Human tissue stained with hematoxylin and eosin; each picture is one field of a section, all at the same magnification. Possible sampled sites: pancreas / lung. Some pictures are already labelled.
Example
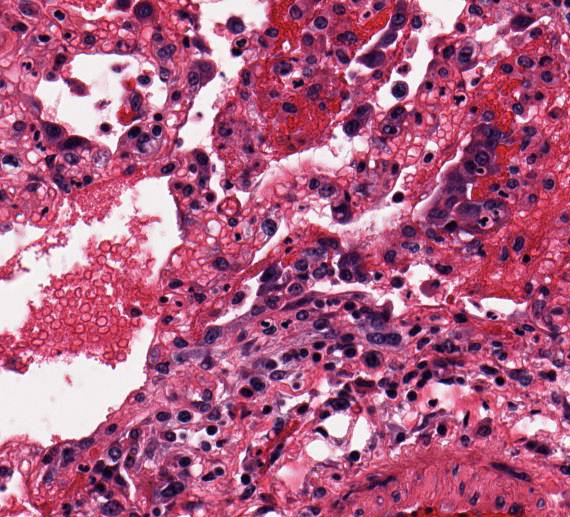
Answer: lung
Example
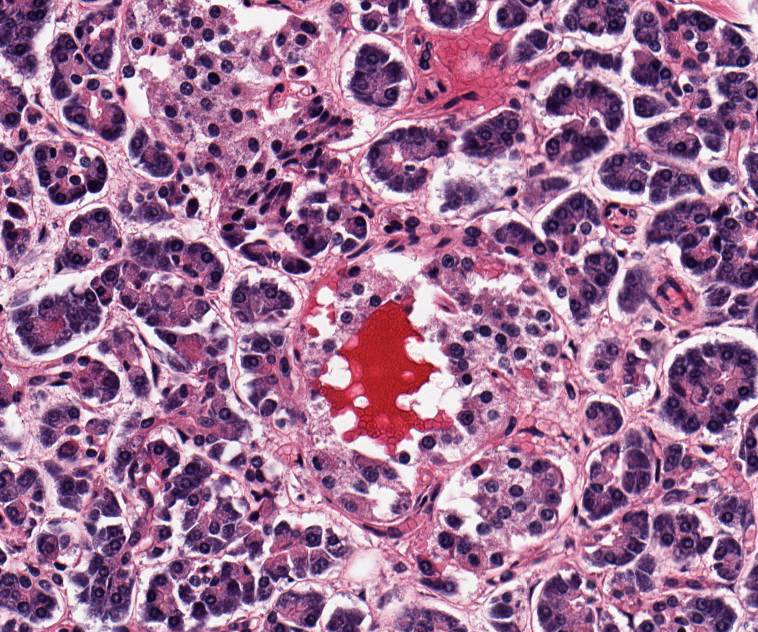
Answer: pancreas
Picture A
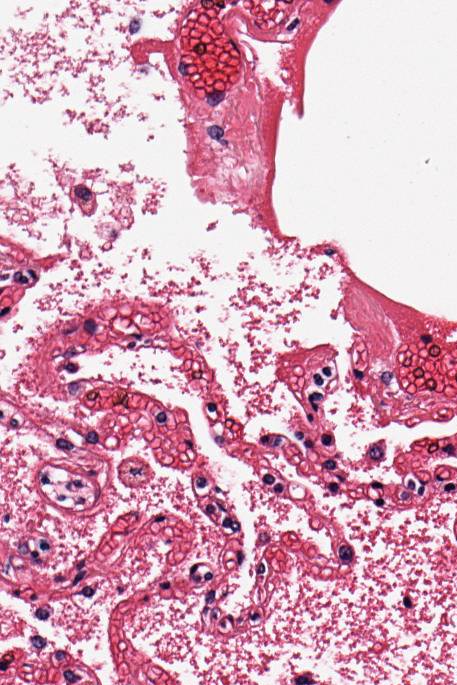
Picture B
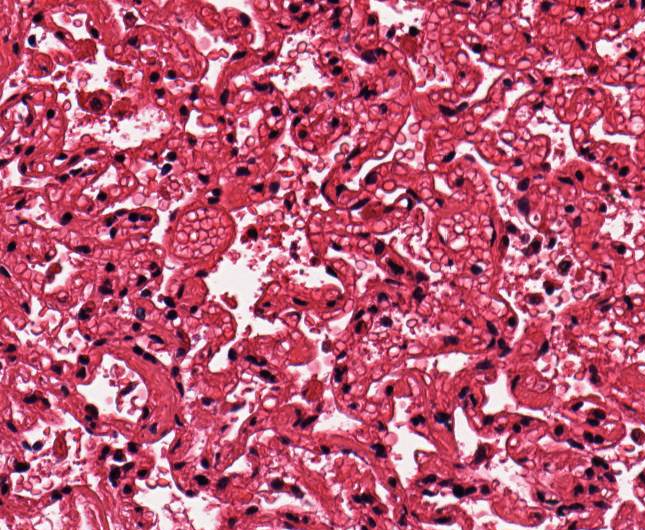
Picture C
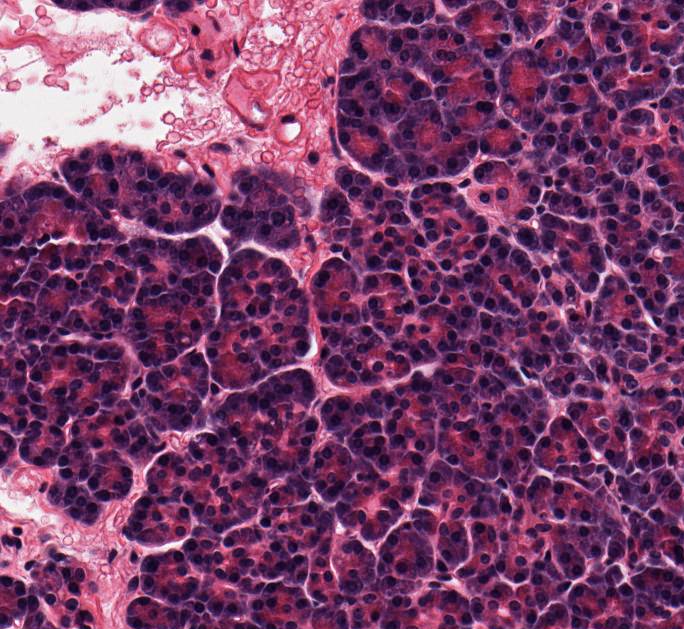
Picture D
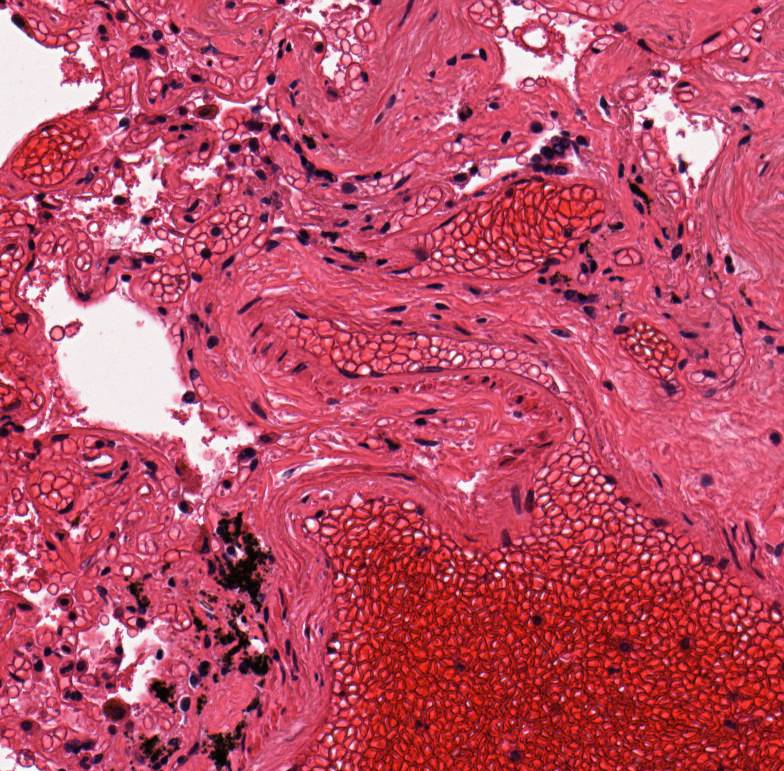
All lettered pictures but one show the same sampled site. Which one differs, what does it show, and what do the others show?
Exception: C, showing pancreas. Remaining pictures: lung.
